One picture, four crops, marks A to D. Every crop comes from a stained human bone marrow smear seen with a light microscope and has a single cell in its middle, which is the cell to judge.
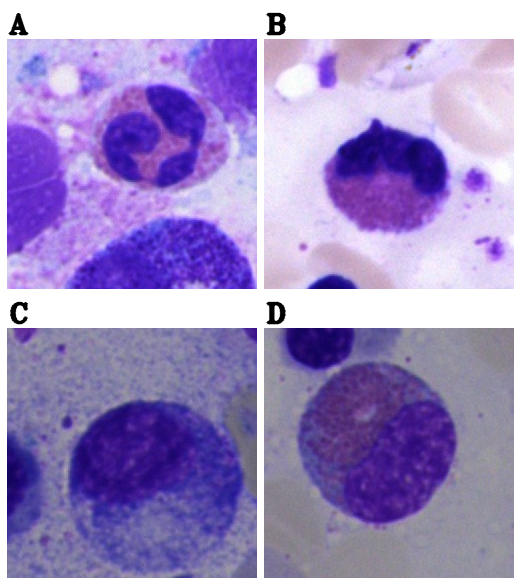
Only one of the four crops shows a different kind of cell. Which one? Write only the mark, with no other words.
C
